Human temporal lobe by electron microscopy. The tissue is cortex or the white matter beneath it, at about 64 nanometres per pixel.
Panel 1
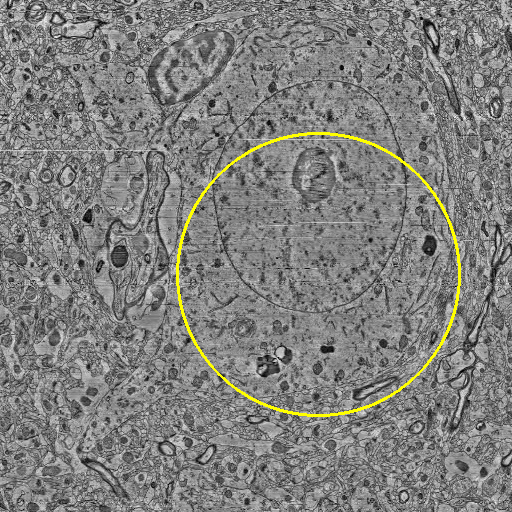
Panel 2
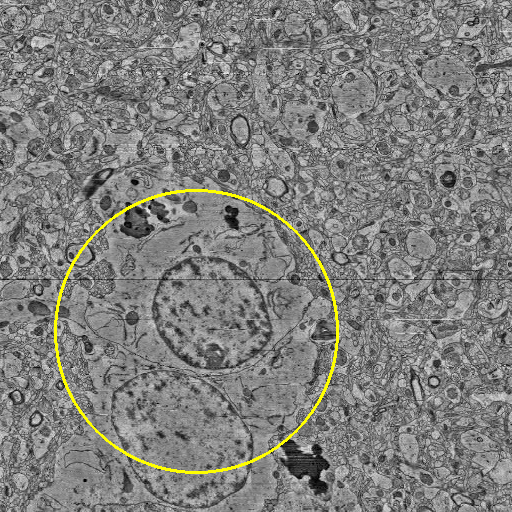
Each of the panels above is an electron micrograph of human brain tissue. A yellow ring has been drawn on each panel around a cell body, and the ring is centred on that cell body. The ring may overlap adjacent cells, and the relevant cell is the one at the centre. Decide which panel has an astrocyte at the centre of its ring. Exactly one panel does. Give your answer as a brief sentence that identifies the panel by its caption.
Panel 2 is the one with it at the centre of the ring.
